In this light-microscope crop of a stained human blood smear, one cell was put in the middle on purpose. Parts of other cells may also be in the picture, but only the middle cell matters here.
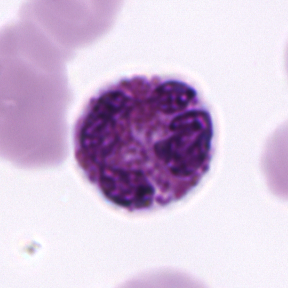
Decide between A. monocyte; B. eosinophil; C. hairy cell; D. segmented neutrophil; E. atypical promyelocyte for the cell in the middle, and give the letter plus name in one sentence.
The correct identification, given in option B, is that the central cell is an eosinophil.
